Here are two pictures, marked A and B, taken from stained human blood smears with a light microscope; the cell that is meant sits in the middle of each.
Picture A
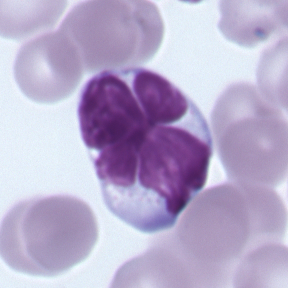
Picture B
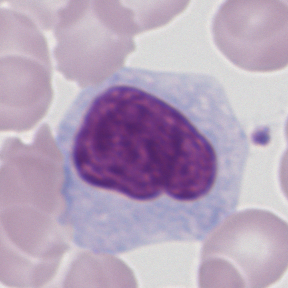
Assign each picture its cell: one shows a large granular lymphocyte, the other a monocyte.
A: large granular lymphocyte
B: monocyte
